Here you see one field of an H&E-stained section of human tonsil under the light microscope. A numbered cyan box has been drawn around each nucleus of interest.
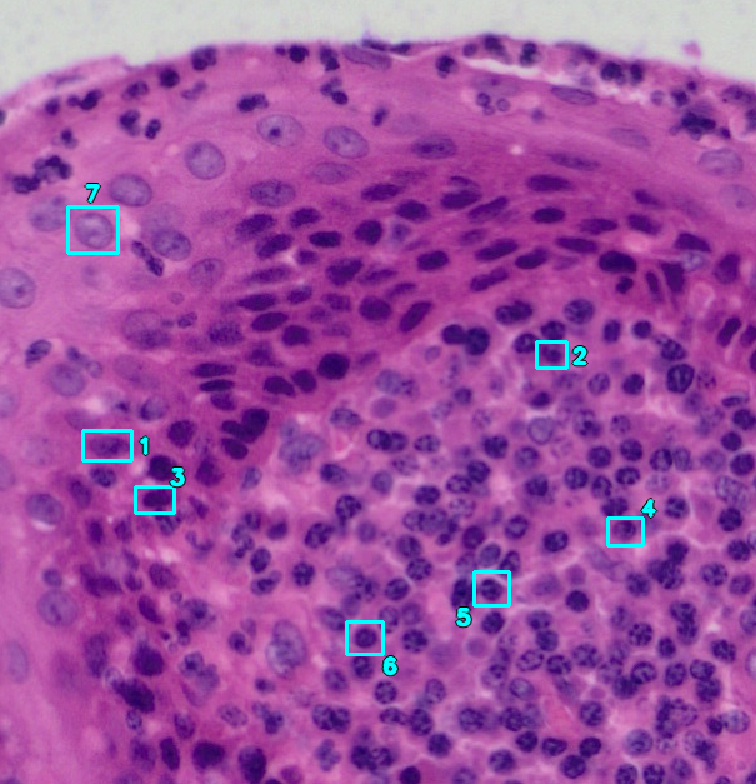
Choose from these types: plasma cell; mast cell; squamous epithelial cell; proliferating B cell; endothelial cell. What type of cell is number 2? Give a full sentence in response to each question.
The cell that bears the number 2 is a plasma cell.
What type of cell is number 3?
What the number 3 marks in this field is a squamous epithelial cell.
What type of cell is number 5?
That cell with number 5 is a plasma cell.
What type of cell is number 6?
The cell referenced by the number 6 is a plasma cell in this field.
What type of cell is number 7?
Numbered cell 7 is a squamous epithelial cell in this tissue section.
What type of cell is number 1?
It is as a squamous epithelial cell that the cell numbered 1 is identified.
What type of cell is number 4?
To a plasma cell belongs the nucleus marked 4.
